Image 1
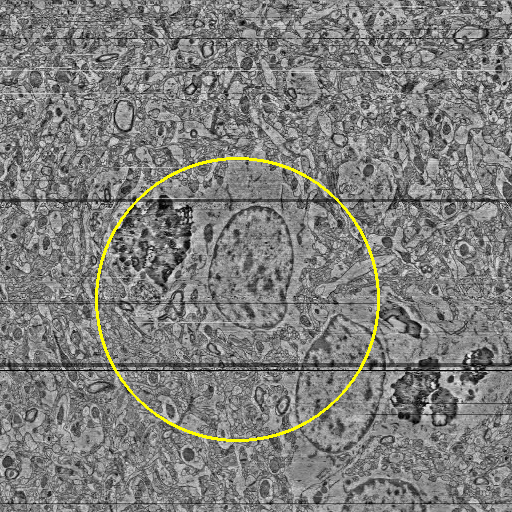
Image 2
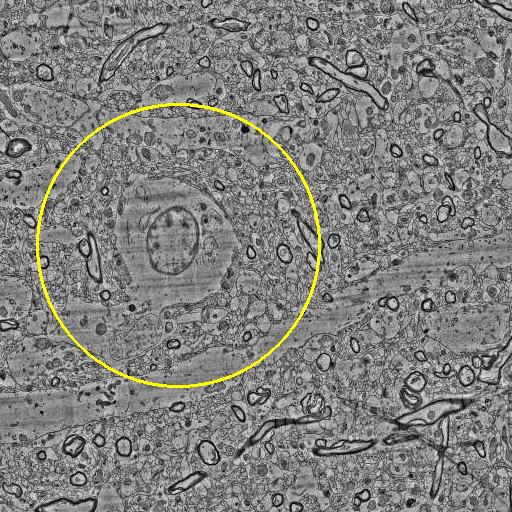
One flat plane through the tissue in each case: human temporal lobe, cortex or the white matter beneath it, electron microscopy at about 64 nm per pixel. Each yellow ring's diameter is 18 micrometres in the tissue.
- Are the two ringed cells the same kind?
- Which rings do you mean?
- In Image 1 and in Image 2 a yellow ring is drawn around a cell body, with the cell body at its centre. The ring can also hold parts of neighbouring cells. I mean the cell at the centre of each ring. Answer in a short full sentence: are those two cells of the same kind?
Yes, both cells are of the same kind.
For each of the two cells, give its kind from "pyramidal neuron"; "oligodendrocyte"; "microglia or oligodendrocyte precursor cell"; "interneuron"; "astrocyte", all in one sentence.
Both pictures show an astrocyte at the centre of the ring.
